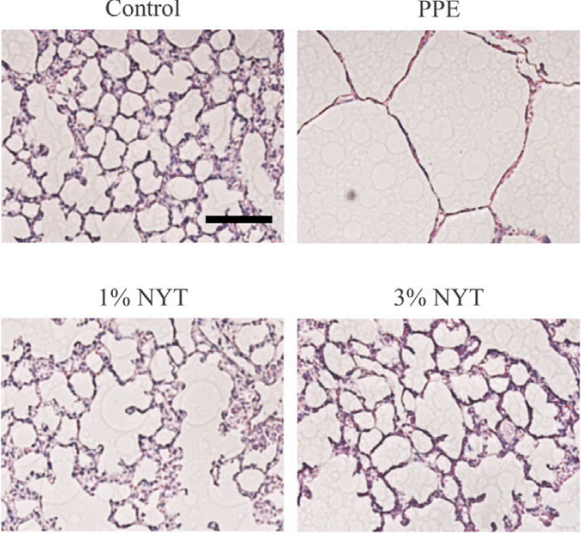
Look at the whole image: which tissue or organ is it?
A: Lung.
